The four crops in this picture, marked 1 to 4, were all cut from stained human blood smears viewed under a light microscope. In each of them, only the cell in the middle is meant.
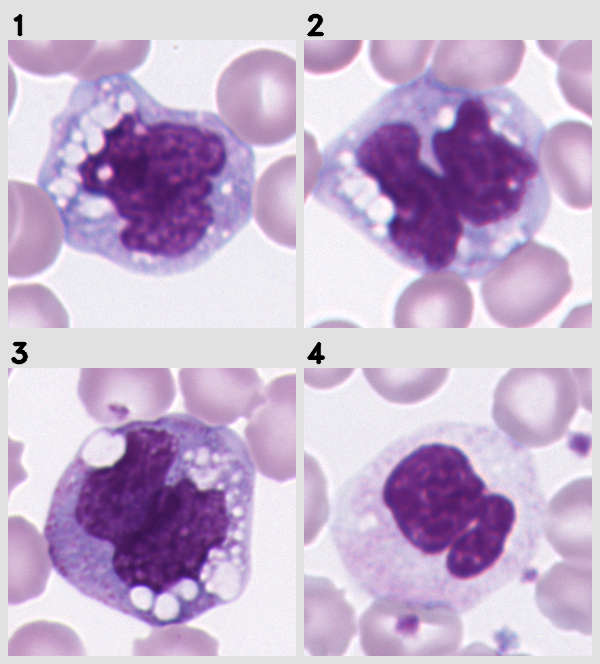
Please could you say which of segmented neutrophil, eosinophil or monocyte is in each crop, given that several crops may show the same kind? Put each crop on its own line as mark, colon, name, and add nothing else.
1: monocyte
2: monocyte
3: monocyte
4: segmented neutrophil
